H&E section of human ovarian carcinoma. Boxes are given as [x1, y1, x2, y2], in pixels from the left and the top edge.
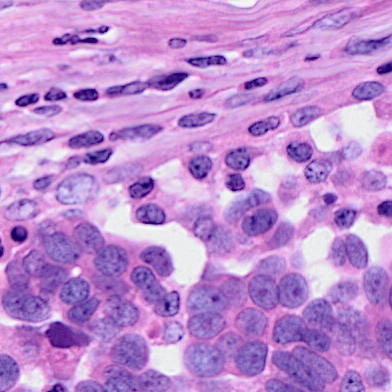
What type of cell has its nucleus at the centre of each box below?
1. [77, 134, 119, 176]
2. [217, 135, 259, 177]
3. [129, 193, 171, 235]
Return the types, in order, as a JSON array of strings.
["lymphocyte", "macrophage or monocyte", "macrophage or monocyte"]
